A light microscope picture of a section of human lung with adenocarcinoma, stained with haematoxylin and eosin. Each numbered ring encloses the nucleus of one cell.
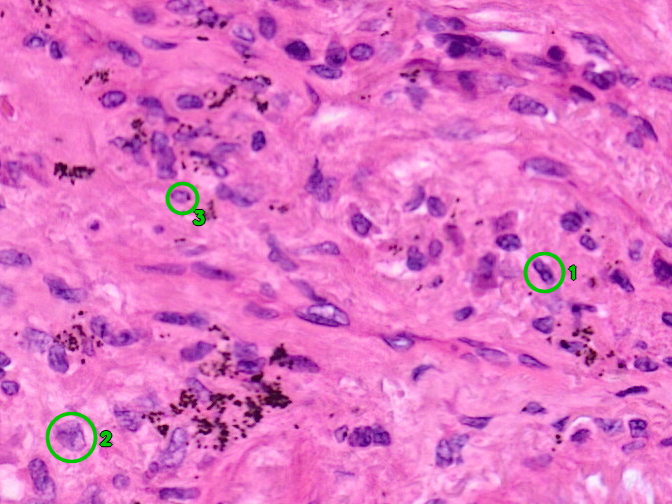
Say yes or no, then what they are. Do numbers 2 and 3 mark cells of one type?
No; whereas cell 2 is a fibroblast, cell 3 is a mast cell.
